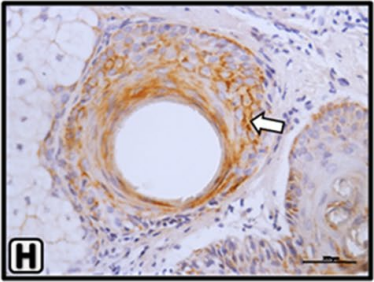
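A cross-section through a hair follicle shows a round empty central space surrounded by several concentric layers of epithelial cells. Around the epithelial ring lies a thin band of flattened cells and loose connective tissue, with part of another follicle-like epithelial profile at the lower right. This is a transversally cut hair follicle with brown-stained cells in its epithelial sheath.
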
